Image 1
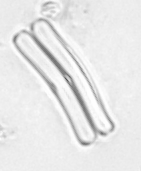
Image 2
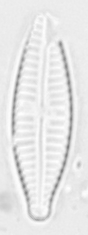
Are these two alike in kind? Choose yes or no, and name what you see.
No. First Achnanthidium, second Gomphonema.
